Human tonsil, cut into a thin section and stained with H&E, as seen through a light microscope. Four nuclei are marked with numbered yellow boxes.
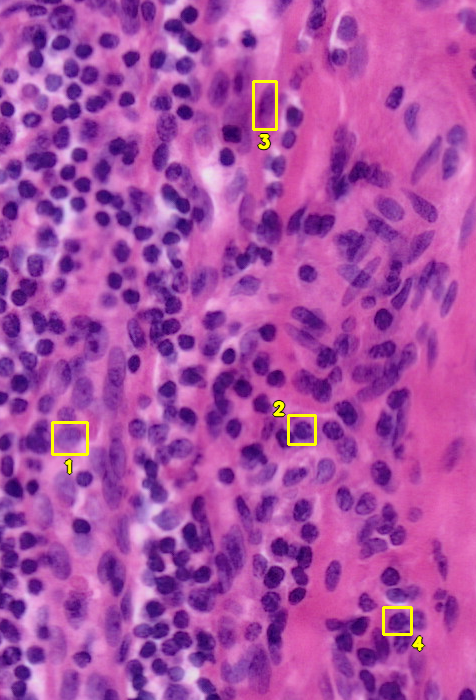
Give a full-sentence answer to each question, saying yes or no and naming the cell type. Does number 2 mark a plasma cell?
Yes, that is right: the cell labelled 2 is a plasma cell.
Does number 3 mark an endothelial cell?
Yes, the cell given number 3 is an endothelial cell.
